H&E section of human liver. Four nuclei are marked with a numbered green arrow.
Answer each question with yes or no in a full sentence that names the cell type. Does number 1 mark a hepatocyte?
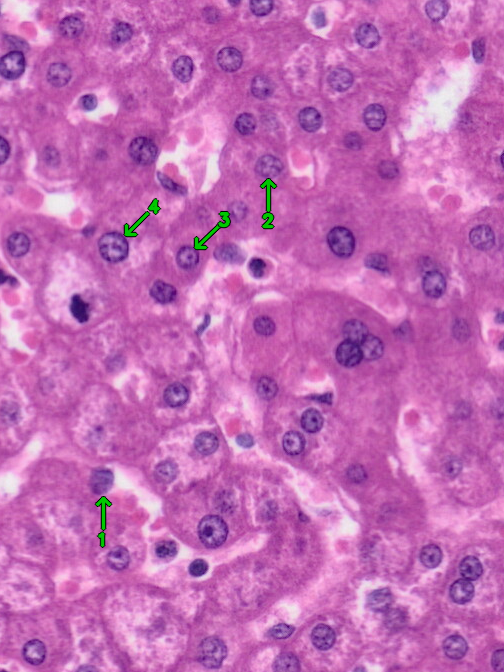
No, it is an endothelial cell, rather than a hepatocyte, that carries number 1.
